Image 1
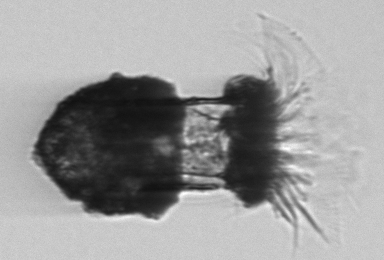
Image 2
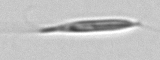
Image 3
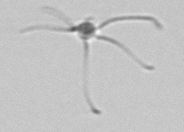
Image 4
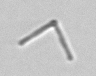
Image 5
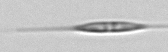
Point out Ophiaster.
That is picture 3.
